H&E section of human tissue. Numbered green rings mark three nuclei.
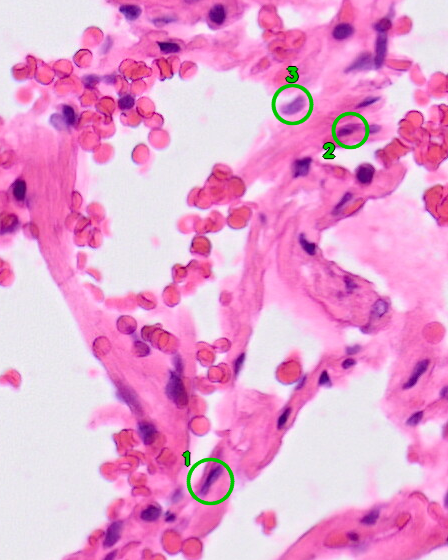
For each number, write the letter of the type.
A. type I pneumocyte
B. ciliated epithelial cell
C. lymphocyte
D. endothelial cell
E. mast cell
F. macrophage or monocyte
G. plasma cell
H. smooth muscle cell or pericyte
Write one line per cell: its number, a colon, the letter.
1: D
2: D
3: A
